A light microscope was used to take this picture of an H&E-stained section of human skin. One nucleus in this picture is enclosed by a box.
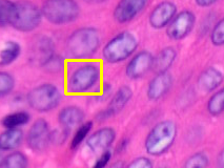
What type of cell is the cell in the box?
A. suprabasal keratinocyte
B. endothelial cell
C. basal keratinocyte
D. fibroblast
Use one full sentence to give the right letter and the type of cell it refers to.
Option A stands as correct, with the cell in the box being a suprabasal keratinocyte.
